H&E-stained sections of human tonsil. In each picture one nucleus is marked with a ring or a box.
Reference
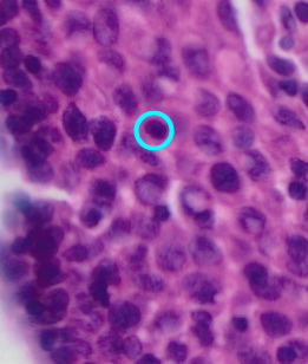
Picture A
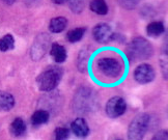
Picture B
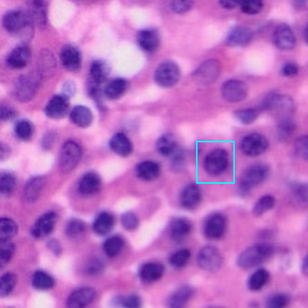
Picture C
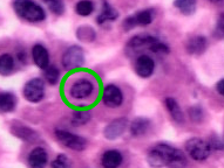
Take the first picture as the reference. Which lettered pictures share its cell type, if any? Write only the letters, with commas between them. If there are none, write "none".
none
